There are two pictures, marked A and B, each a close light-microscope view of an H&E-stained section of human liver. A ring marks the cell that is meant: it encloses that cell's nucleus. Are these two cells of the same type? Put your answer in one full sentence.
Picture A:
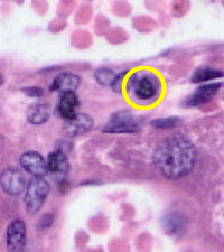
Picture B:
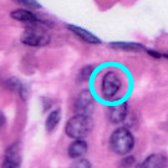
Yes; the cells in both pictures are cholangiocytes.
